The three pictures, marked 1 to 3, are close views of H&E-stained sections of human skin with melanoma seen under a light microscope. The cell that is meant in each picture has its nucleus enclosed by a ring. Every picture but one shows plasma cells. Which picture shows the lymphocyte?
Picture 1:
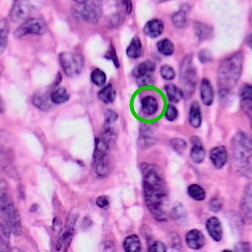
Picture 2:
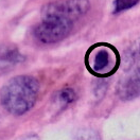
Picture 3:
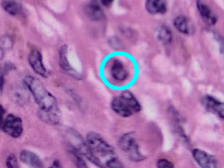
2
